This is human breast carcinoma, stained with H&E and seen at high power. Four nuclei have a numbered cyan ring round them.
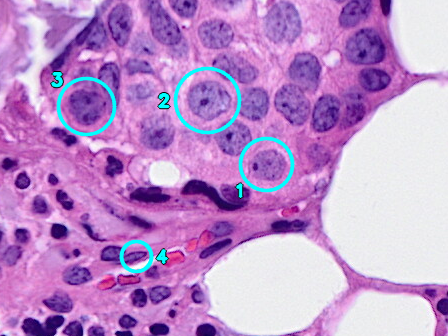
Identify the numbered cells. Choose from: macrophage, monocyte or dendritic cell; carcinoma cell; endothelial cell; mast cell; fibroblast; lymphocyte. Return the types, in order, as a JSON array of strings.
["carcinoma cell", "carcinoma cell", "carcinoma cell", "endothelial cell"]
